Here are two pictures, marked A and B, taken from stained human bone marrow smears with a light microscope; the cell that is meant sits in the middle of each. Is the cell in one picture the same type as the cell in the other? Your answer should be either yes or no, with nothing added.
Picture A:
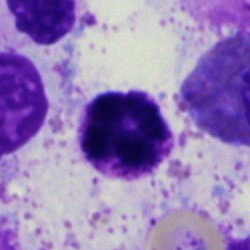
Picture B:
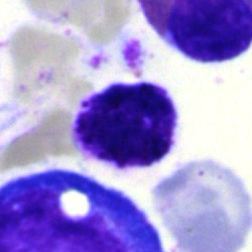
yes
